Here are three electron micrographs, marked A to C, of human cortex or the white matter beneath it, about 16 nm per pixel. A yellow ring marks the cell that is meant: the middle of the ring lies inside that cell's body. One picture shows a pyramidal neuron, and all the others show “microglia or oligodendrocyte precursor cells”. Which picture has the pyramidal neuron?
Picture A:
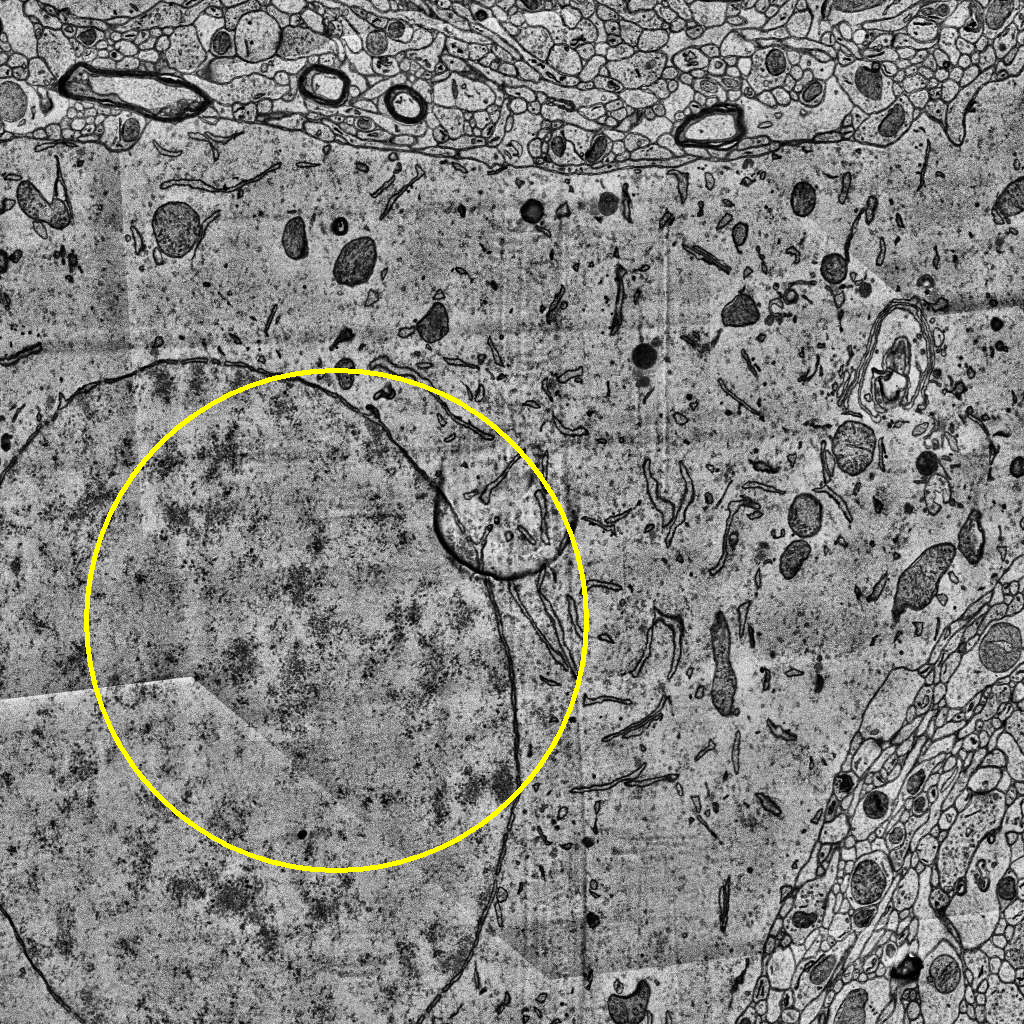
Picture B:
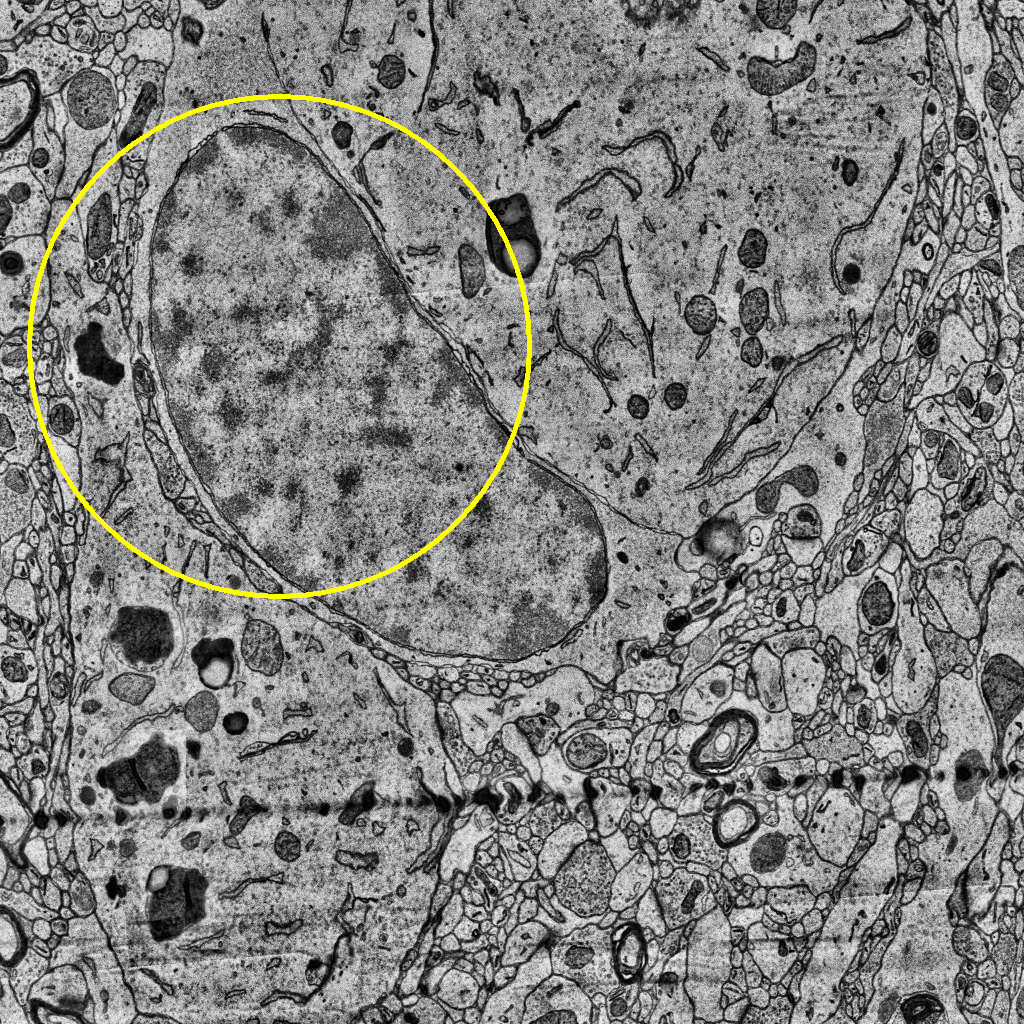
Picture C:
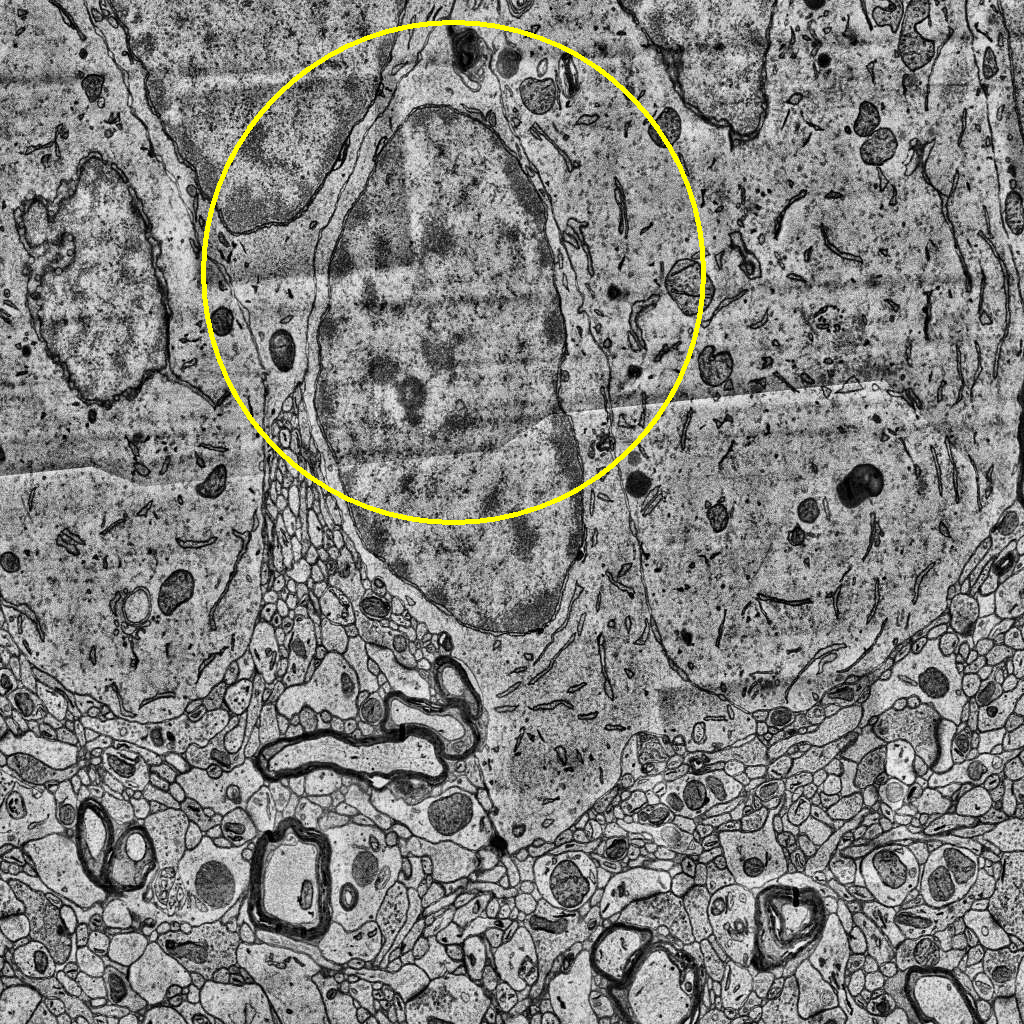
The picture with the pyramidal neuron is A.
